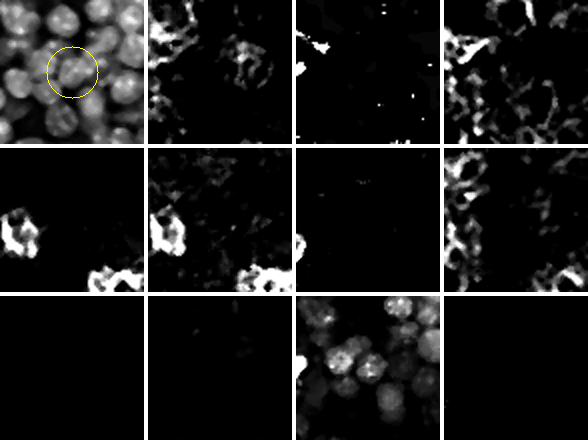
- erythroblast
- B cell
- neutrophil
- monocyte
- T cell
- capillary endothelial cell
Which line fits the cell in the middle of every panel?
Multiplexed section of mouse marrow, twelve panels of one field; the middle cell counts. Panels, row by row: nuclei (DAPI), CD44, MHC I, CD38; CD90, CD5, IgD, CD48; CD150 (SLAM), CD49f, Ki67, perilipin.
erythroblast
